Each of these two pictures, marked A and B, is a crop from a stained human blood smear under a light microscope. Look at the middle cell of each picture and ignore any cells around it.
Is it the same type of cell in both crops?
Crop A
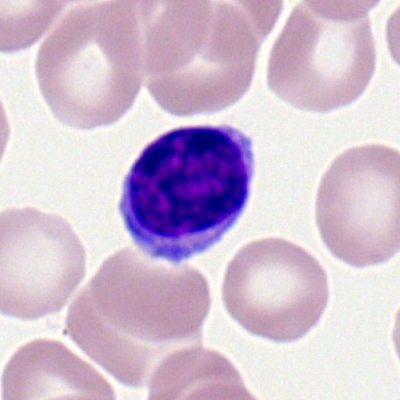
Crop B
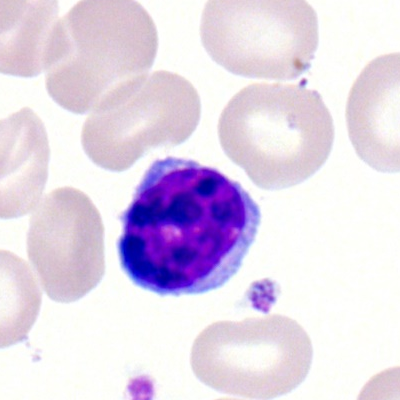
yes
